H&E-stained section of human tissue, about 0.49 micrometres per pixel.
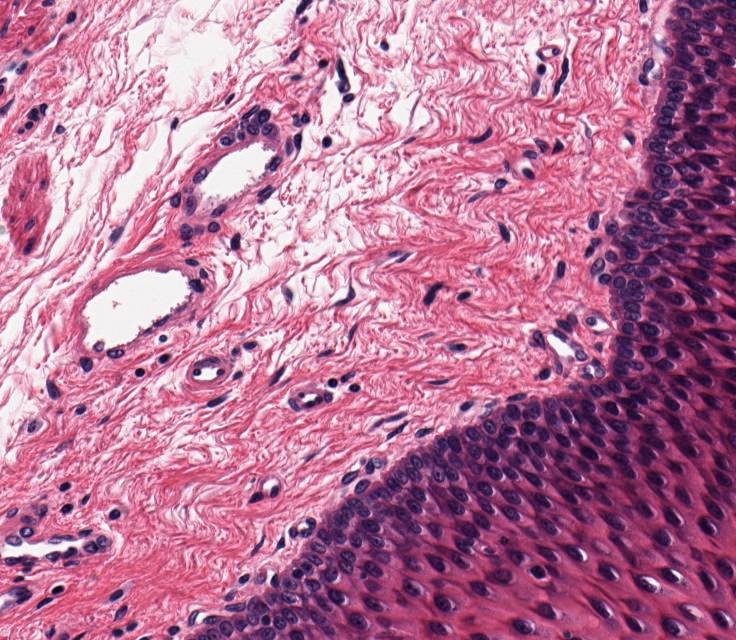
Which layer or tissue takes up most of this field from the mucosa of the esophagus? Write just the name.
loose connective tissue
